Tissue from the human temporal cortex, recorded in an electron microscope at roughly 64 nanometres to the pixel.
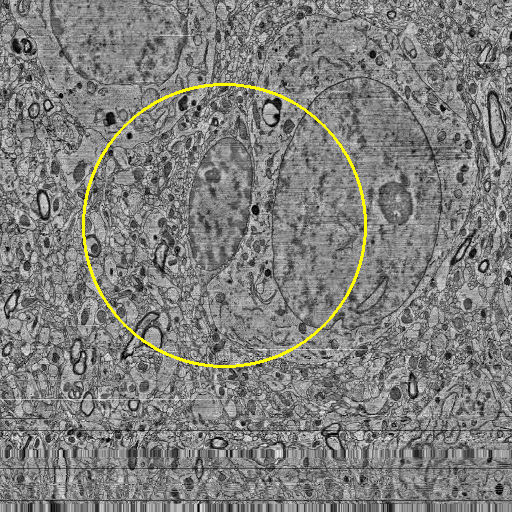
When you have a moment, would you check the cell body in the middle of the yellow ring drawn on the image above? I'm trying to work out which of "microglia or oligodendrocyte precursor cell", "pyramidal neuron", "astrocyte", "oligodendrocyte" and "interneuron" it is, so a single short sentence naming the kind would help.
This cell body belongs to an oligodendrocyte.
